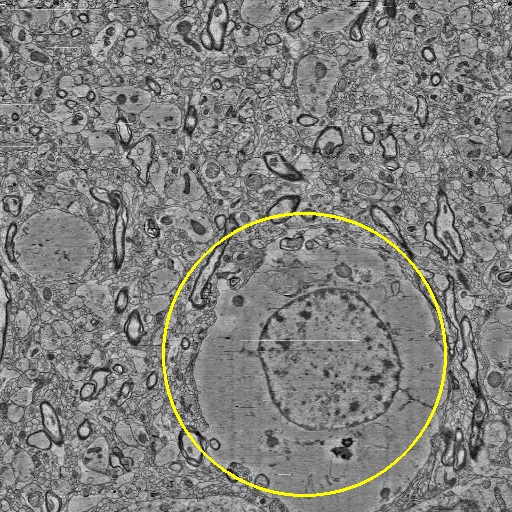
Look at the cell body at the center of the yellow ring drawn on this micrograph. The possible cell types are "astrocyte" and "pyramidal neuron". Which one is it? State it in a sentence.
The cell in the middle of the ring is an astrocyte.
